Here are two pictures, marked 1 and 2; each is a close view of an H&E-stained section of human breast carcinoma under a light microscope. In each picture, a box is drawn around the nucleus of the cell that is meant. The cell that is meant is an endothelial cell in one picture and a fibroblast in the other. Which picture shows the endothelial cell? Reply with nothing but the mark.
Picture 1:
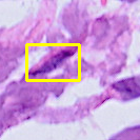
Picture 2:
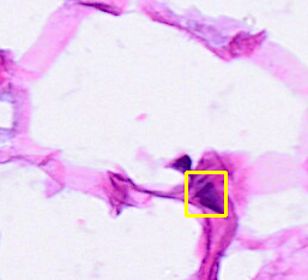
2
